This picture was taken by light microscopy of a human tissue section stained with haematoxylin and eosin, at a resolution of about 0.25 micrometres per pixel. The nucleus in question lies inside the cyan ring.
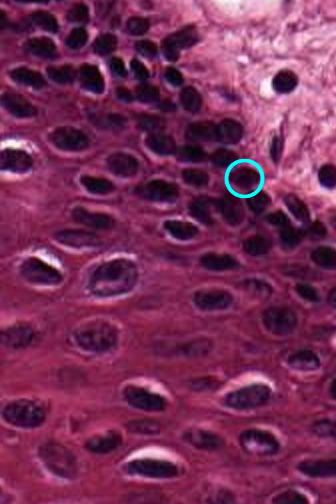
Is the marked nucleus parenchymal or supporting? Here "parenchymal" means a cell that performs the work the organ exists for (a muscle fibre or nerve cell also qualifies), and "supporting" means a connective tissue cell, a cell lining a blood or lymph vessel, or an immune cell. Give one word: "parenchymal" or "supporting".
parenchymal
